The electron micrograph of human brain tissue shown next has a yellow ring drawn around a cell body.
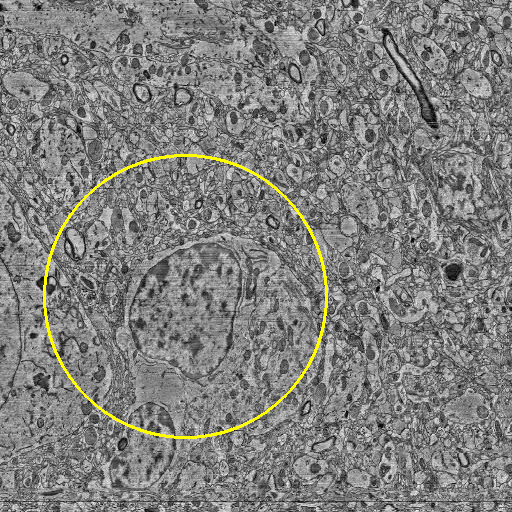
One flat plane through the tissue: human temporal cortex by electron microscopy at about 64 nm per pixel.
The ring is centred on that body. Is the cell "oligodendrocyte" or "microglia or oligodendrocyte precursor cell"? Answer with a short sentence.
The cell in question is a microglial cell or oligodendrocyte precursor cell.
